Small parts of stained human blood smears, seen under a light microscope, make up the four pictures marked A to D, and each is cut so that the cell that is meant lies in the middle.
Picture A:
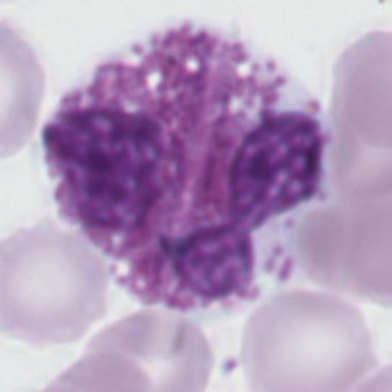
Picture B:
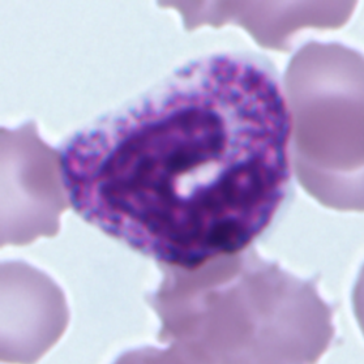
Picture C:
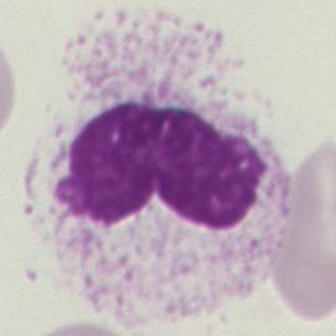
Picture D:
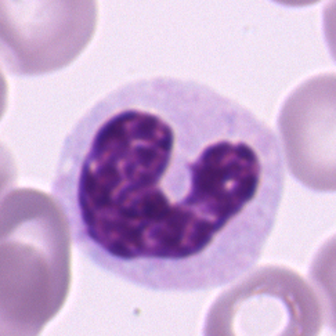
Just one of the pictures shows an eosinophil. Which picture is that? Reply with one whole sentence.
The picture with the eosinophil is A.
